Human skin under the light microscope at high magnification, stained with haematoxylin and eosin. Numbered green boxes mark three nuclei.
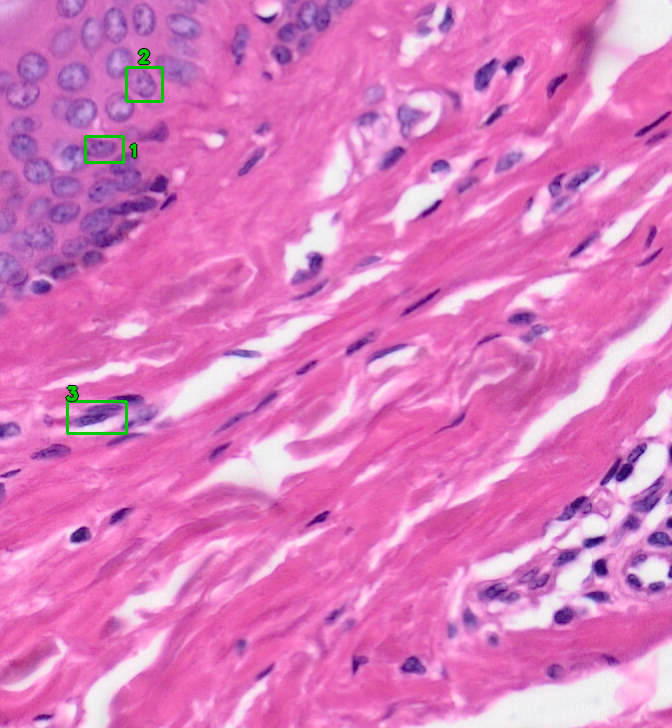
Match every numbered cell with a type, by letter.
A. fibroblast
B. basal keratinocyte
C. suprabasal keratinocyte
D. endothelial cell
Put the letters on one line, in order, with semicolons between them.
B; C; D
